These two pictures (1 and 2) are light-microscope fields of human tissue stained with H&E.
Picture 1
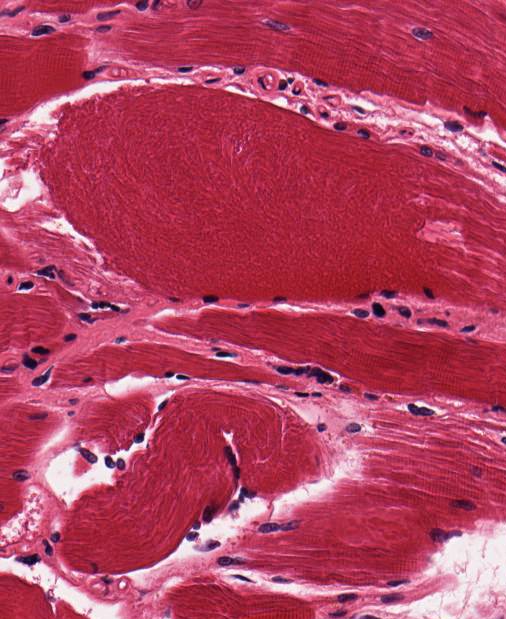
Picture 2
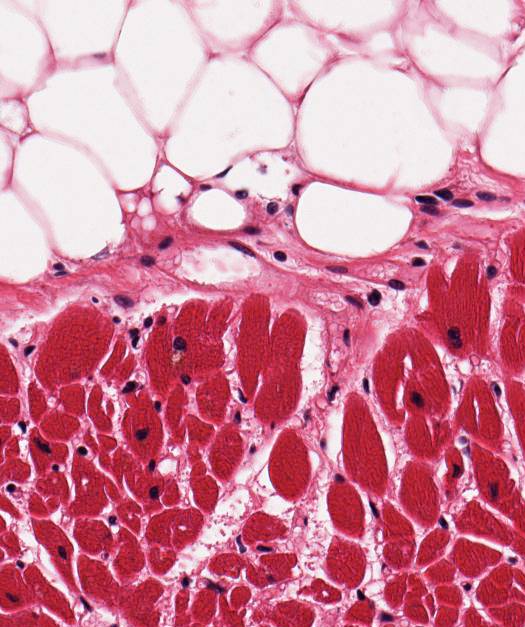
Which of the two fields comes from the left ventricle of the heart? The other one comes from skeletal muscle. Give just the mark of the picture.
2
